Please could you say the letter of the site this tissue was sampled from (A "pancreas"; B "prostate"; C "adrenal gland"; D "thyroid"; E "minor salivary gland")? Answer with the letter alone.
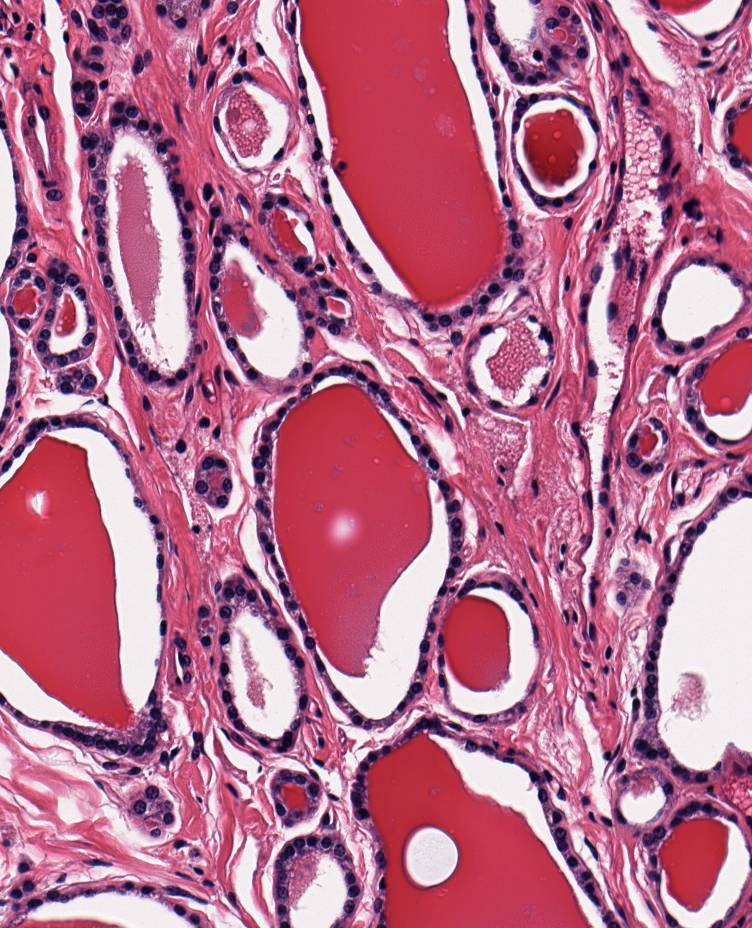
D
